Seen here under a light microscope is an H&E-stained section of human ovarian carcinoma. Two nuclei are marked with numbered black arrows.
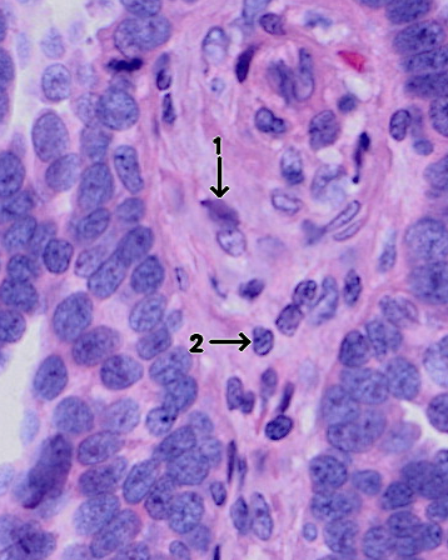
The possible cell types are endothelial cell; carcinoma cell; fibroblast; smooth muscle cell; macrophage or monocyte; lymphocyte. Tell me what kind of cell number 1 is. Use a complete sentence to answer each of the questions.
The nucleus labelled 1 belongs to a fibroblast.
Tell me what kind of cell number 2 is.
The cell that goes by number 2 is a lymphocyte.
